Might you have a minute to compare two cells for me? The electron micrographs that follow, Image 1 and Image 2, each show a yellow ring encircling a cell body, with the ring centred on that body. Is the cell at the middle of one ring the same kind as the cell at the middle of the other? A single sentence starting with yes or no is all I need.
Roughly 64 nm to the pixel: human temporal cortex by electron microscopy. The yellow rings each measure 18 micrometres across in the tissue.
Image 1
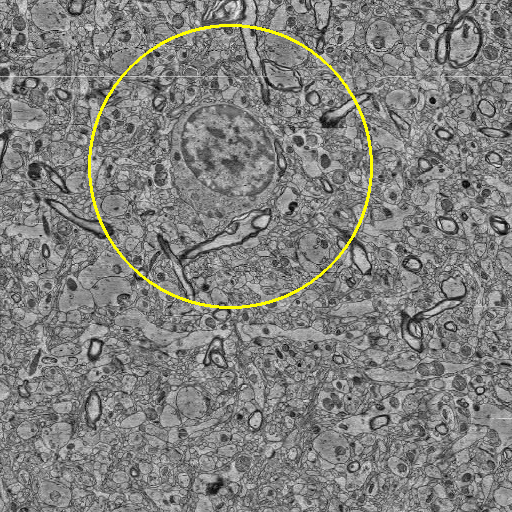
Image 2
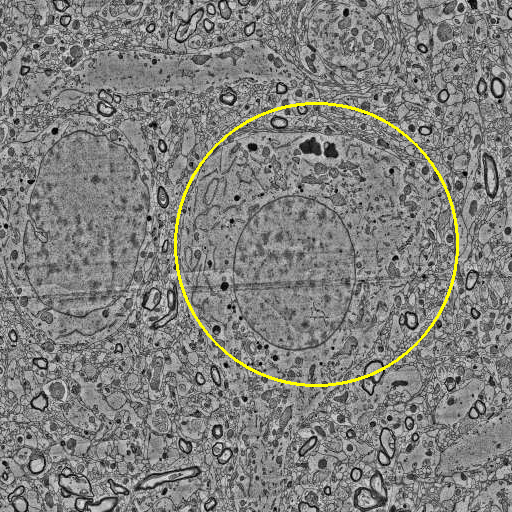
No, the cells in the middle of the two rings are of two separate kinds.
